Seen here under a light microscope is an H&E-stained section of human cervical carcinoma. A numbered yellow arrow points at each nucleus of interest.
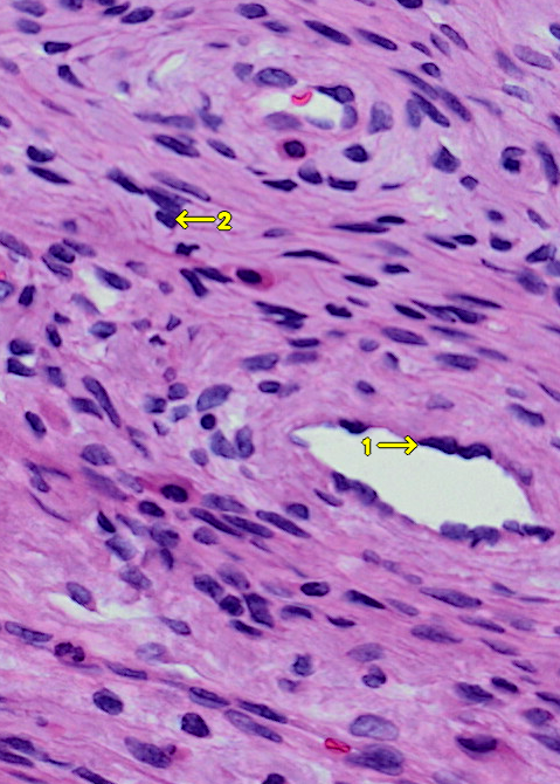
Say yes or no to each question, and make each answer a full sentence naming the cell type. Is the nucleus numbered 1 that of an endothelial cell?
Yes, to put it simply, cell number 1 is an endothelial cell.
